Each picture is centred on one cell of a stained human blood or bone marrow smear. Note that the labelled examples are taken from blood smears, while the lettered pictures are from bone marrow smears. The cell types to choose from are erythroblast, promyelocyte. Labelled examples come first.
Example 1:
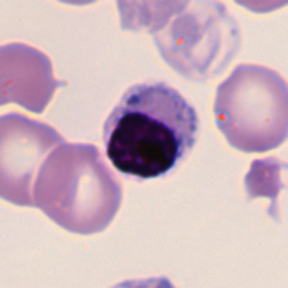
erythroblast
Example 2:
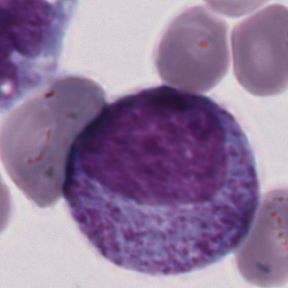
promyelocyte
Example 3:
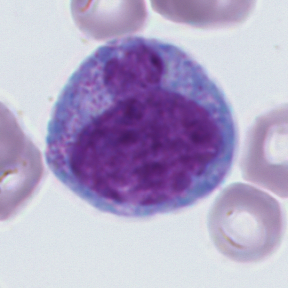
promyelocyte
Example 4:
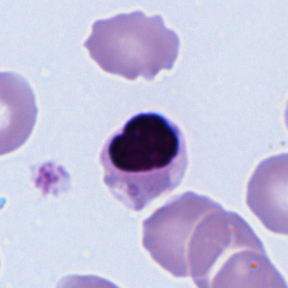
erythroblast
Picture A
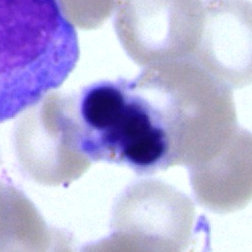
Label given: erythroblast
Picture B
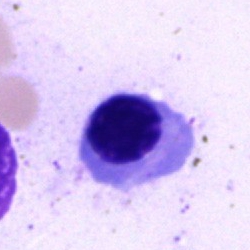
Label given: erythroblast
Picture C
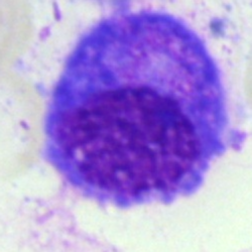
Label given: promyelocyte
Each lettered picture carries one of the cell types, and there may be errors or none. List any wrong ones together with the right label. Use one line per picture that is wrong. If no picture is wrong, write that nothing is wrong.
All labels are correct.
